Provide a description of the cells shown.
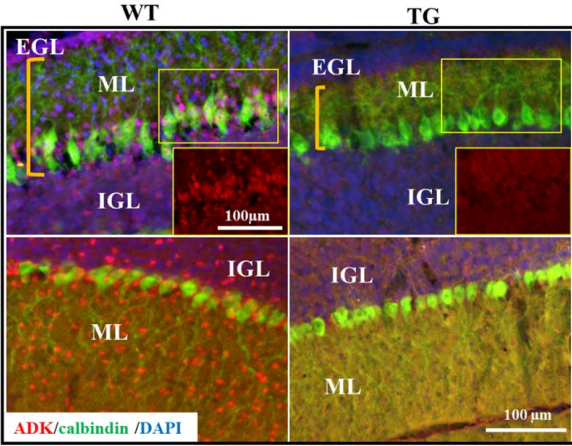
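These are sections of cerebellar cortex in which Purkinje cells are labelled green, their large cell bodies aligned in a single row at the border between the molecular layer and the granular layer. From each cell body green dendrites branch into the molecular layer, while the granular layer on the other side is packed with small blue nuclei. In the upper images a superficial band of densely packed nuclei still covers the molecular layer, and the molecular layer beneath it is narrower in one image than in the other.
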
